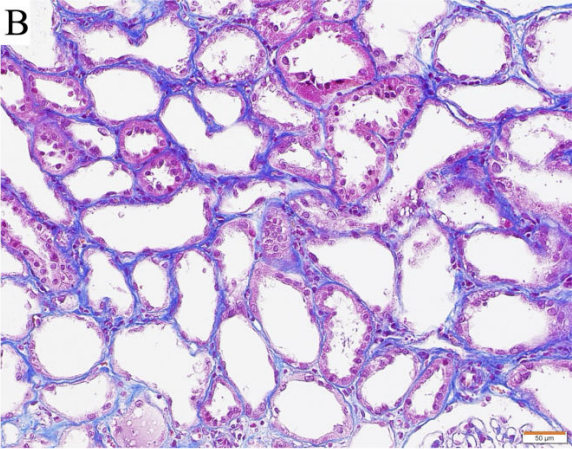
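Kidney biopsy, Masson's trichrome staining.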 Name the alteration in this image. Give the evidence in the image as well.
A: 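The tubular epithelium was markedly flattened. Many tubules are lined by a thin, low rim of pink cytoplasm with flat nuclei. Few tubules keep a tall cuboidal lining.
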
